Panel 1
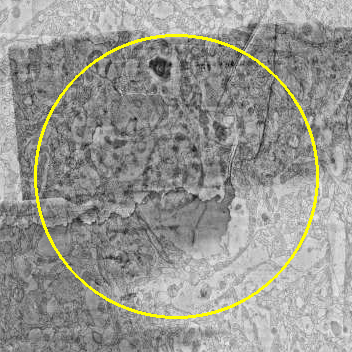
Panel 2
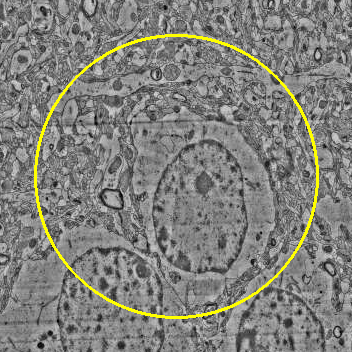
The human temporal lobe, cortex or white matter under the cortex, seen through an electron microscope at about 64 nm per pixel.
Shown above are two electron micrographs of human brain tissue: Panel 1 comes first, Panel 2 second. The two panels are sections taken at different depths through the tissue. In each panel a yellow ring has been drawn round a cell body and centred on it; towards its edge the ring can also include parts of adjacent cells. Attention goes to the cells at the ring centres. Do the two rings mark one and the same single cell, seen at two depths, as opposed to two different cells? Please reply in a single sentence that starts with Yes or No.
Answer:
No, each yellow ring marks its own cell.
